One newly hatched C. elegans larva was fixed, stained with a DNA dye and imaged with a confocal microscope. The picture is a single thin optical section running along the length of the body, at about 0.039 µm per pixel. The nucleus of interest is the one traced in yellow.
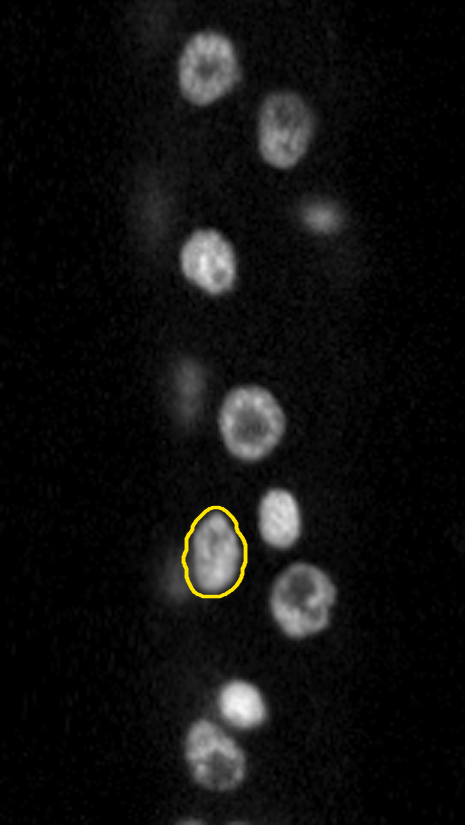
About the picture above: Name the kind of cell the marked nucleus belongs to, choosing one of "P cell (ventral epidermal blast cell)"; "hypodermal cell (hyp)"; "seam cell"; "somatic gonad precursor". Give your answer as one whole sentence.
It is the nucleus of a P cell (ventral epidermal blast cell).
